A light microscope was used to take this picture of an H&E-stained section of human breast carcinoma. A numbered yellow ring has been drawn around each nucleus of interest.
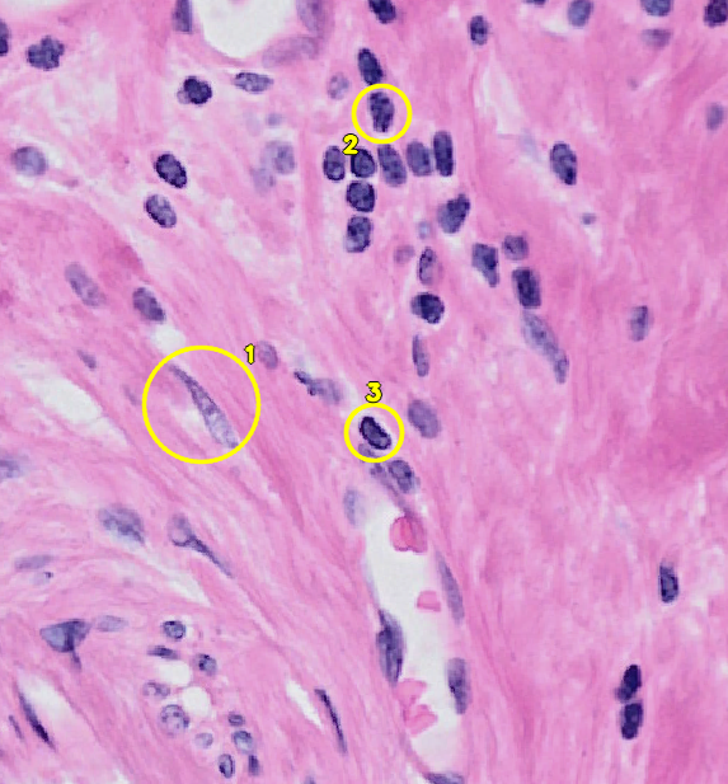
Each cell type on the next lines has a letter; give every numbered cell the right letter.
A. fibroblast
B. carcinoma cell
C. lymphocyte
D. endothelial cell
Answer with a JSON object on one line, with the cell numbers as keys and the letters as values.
{"1": "A", "2": "C", "3": "C"}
